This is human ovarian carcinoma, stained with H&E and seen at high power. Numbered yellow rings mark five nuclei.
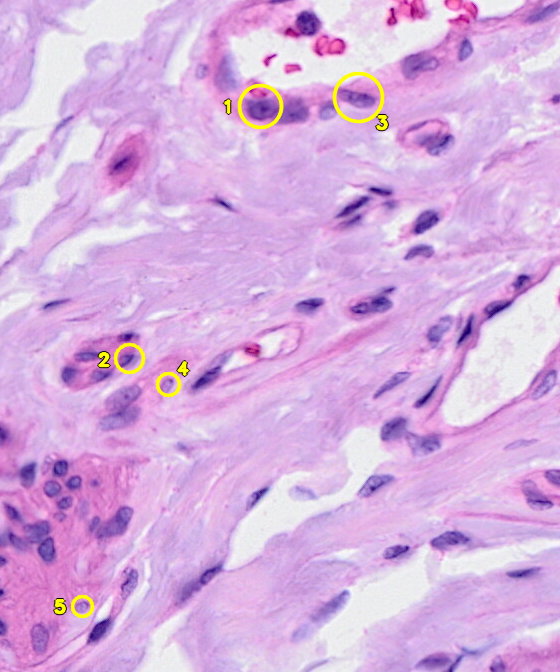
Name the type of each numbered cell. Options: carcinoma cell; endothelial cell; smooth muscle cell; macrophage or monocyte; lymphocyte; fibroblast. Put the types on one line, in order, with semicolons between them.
endothelial cell; smooth muscle cell; endothelial cell; smooth muscle cell; smooth muscle cell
